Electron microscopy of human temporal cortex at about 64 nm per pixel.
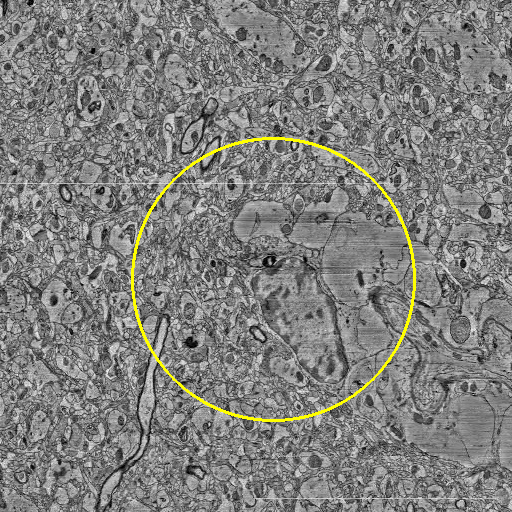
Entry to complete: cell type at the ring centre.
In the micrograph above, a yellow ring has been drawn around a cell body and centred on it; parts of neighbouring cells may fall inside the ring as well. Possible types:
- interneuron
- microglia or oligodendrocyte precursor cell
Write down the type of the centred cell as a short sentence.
The ring is centred on a microglial cell or oligodendrocyte precursor cell.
